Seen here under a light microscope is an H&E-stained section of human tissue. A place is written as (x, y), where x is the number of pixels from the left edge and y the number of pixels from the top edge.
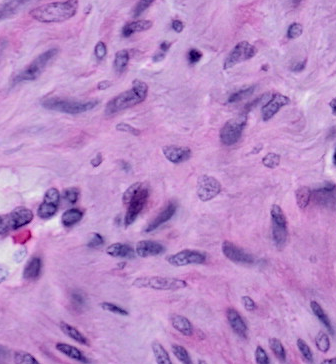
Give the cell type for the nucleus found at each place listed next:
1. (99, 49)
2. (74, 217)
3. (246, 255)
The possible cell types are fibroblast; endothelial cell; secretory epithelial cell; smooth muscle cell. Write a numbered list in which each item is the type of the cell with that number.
1. smooth muscle cell
2. endothelial cell
3. smooth muscle cell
